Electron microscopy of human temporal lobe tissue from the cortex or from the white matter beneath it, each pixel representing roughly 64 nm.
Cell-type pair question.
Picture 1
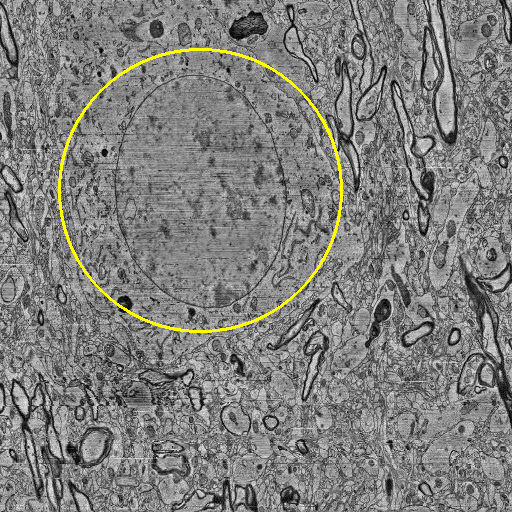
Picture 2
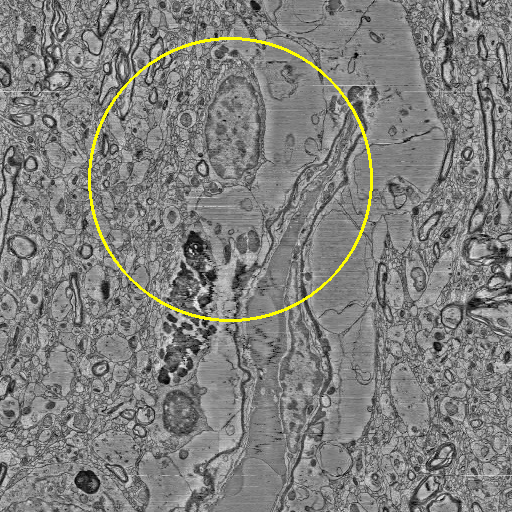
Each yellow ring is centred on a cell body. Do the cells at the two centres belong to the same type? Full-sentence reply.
No, the two cells belong to two types.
